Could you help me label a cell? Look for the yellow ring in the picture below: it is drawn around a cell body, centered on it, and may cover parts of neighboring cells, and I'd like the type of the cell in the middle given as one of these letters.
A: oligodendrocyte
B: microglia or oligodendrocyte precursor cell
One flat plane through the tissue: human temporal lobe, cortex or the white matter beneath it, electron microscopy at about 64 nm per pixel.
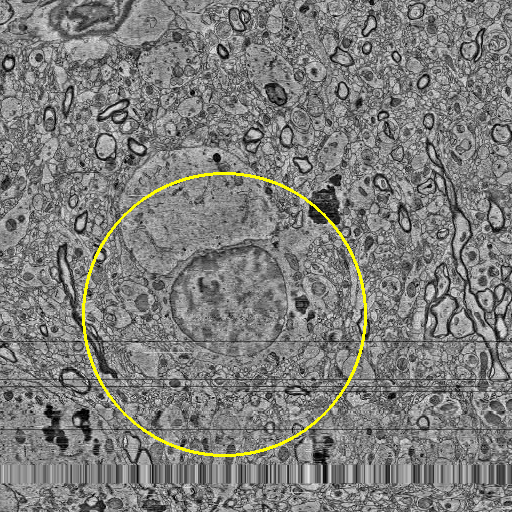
A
